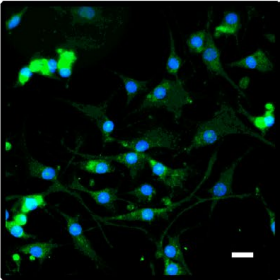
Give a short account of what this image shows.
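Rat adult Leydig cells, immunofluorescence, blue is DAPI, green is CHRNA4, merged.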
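Green fluorescence fills the cytoplasm around the nuclei, granular in texture, and is bright and dense in some rounded cells. Many cells are spread and irregular or spindle-shaped, with thin green processes reaching out and in places touching neighbouring cells. The nuclei sit centrally or to one side within the green cytoplasm.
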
